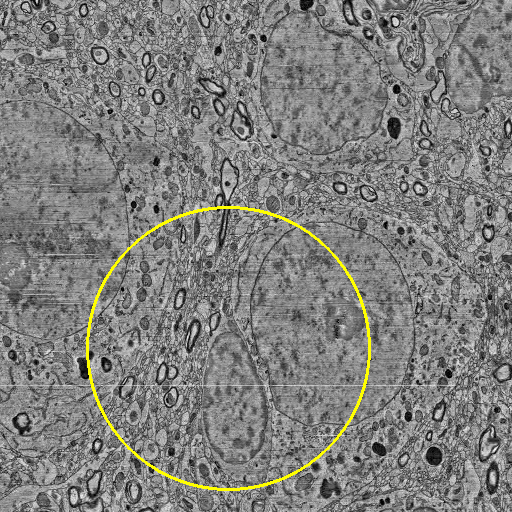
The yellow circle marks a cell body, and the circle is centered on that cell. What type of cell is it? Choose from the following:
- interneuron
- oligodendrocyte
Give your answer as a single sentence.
This cell body belongs to an oligodendrocyte.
